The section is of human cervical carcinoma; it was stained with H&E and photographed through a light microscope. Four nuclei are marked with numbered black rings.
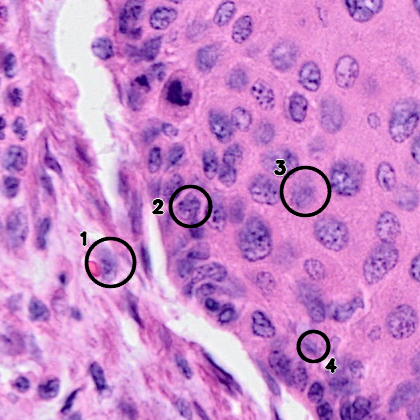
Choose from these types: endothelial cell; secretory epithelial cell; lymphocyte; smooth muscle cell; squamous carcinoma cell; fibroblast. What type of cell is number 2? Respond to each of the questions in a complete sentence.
The cell whose nucleus carries the number 2 is a squamous carcinoma cell.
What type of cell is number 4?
That cell with number 4 is a squamous carcinoma cell.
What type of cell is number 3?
In the marked set, the cell given number 3 is a squamous carcinoma cell.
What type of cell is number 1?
Here the cell numbered 1 is an endothelial cell.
